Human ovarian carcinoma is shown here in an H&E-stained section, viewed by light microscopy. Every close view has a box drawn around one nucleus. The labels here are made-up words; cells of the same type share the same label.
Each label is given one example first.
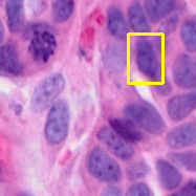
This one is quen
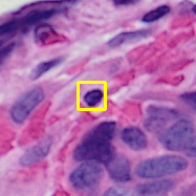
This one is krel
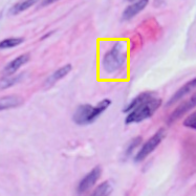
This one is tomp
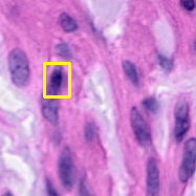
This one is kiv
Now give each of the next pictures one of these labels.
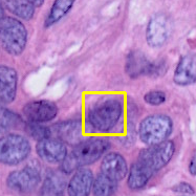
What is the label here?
quen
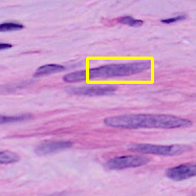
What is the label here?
kiv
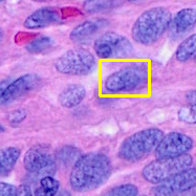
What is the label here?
quen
